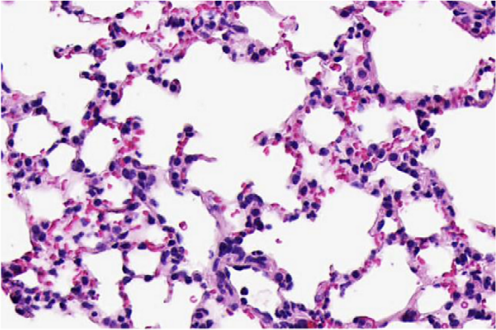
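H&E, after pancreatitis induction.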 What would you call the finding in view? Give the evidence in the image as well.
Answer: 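Alveolar walls are thick and crowded with nuclei. Red blood cells are abundant within the septa.
Hence: thickening of alveolar septa.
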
